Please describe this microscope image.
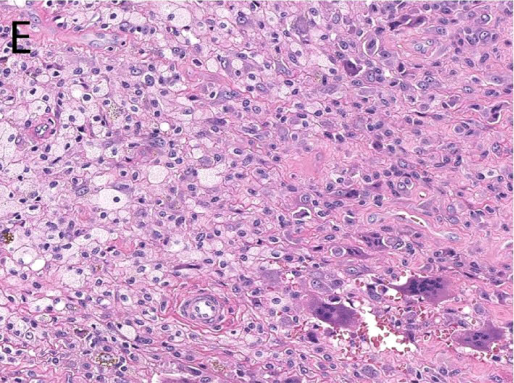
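A mixed cellular lesion shows clusters of cells with pale, bubbly cytoplasm on the left, many smaller round cells, and a few multinucleated giant cells near the bottom beside a small vessel. Fine brown pigment granules are scattered through the tissue. The pale vacuolated cells are foamy macrophages, mixed with osteoclastic giant cells and inflammatory cells.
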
